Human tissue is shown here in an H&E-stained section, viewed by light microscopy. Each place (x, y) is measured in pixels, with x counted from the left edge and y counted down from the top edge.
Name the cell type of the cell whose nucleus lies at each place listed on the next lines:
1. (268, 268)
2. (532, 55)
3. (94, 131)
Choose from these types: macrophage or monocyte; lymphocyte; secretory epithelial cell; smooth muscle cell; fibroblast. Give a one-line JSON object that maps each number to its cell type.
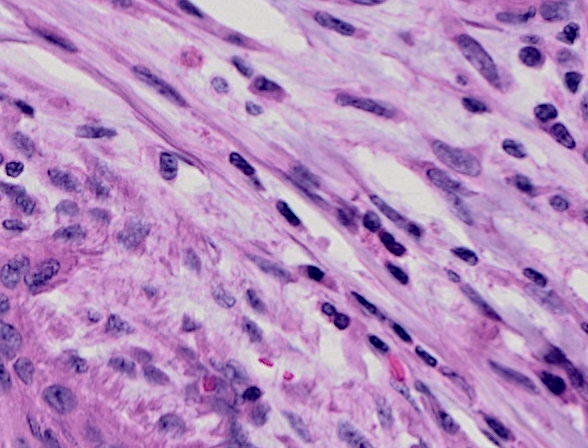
{"1": "fibroblast", "2": "lymphocyte", "3": "fibroblast"}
